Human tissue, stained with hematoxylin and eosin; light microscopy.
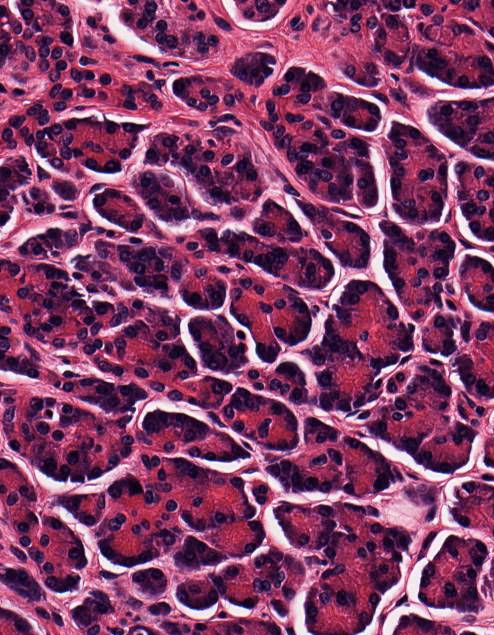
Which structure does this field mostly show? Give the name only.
exocrine pancreas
